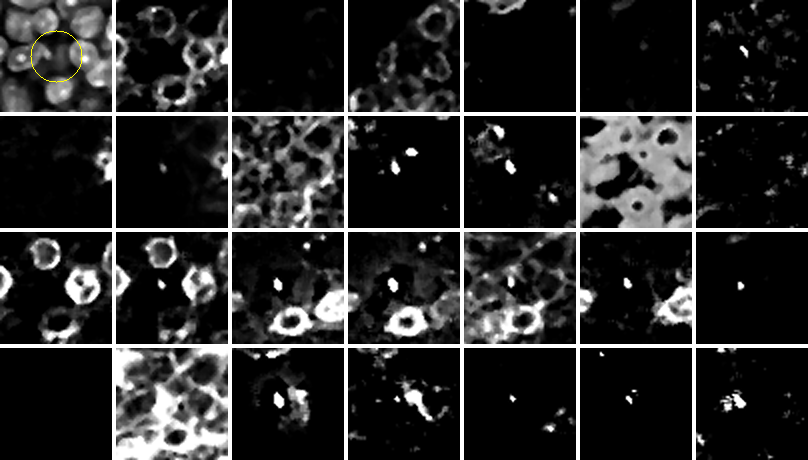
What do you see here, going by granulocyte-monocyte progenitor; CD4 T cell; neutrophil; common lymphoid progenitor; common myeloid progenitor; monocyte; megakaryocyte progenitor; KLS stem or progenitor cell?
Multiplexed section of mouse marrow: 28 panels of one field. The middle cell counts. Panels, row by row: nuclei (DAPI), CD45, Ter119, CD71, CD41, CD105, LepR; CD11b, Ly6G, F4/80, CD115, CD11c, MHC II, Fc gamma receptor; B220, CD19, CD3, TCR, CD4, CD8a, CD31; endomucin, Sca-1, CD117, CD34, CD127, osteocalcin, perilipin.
I see a KLS stem or progenitor cell.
